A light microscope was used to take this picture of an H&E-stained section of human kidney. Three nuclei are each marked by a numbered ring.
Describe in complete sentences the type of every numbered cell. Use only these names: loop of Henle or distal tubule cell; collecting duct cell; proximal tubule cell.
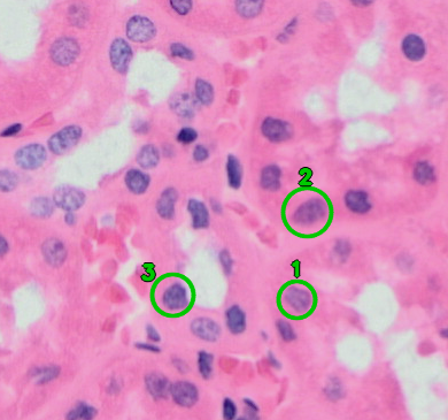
Cell 1 is a proximal tubule cell, cell 2 is a proximal tubule cell and cell 3 is a loop of Henle or distal tubule cell.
